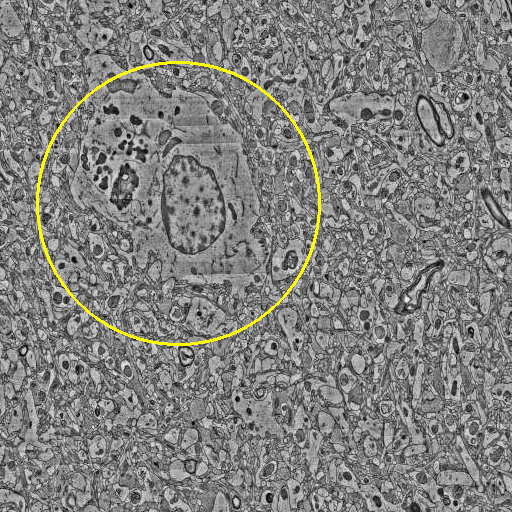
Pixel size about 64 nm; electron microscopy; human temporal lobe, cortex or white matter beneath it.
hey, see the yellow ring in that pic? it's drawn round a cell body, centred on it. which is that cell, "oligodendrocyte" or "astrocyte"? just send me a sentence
The cell in the ring is an astrocyte.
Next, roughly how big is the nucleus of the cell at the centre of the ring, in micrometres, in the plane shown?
The nucleus is about 6 micrometres in length and 4 in width, clearly longer than it is wide in this plane.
